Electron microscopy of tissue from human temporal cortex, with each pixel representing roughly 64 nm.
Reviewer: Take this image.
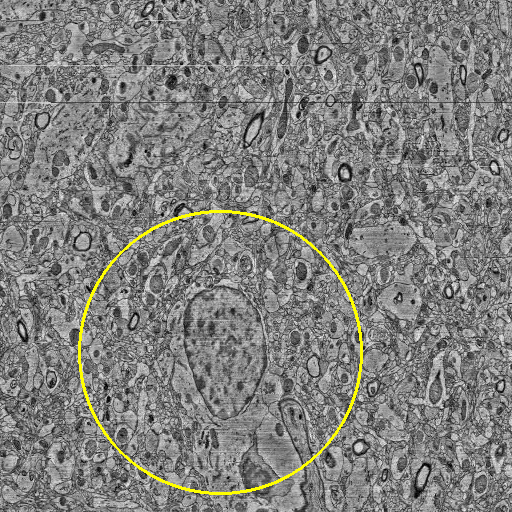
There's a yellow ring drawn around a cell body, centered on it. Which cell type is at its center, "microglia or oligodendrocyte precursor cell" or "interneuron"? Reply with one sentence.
At the center of the yellow ring is a microglial cell or oligodendrocyte precursor cell.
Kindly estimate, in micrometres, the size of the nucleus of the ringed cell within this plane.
Roughly 9 micrometres by 6 micrometres, so the nucleus is clearly longer than it is wide in this plane.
